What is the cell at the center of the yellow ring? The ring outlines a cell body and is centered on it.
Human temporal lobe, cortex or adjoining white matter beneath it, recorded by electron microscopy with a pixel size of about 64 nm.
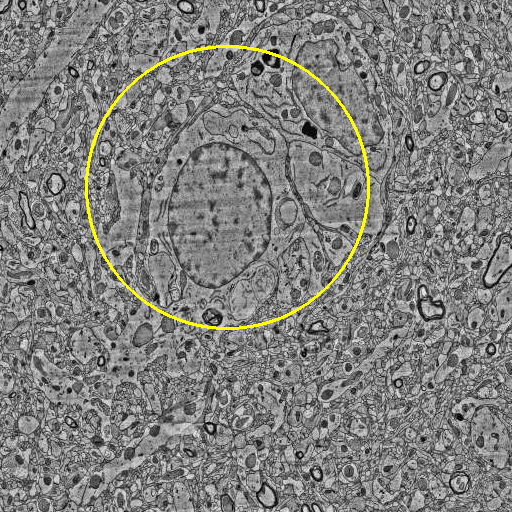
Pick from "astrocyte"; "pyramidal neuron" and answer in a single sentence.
The yellow ring is centered on an astrocyte.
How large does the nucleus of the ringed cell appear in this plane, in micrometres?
About 9 by 7 micrometers for the nucleus, in this plane.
